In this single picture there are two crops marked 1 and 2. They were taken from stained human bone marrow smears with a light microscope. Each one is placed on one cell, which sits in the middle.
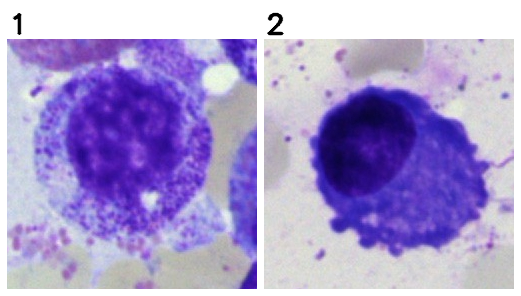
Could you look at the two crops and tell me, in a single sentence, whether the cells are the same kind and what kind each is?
No, crop 1 and crop 2 contain, respectively, a promyelocyte and a plasma cell.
